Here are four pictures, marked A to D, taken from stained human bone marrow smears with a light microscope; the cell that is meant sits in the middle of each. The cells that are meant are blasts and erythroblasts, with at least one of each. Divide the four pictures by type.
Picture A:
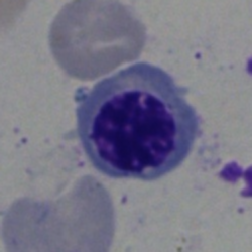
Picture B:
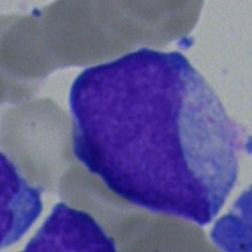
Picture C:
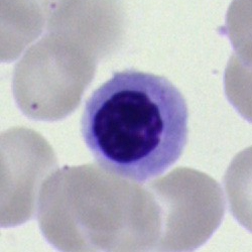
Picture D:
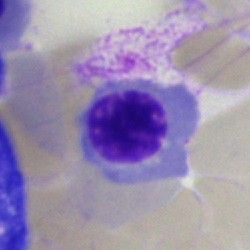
A: erythroblast
B: blast
C: erythroblast
D: erythroblast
